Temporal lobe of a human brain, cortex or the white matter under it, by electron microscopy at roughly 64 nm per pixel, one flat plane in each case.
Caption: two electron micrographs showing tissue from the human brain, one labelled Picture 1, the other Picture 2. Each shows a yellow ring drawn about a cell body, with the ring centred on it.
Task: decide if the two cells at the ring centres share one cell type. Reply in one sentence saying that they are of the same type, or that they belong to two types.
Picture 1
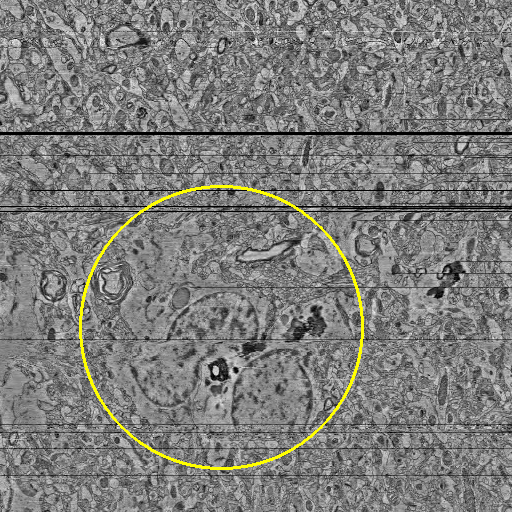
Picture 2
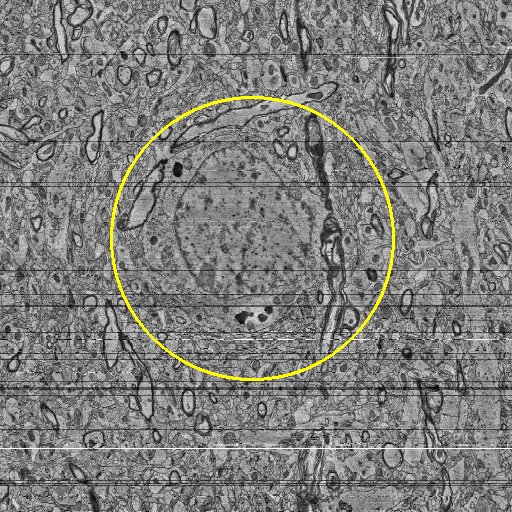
The cells at the ring centres in Picture 1 and Picture 2 belong to two types.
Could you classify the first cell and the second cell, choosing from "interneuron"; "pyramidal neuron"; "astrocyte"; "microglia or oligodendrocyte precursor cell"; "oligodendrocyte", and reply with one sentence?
The second cell is an interneuron, while the first is an astrocyte.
